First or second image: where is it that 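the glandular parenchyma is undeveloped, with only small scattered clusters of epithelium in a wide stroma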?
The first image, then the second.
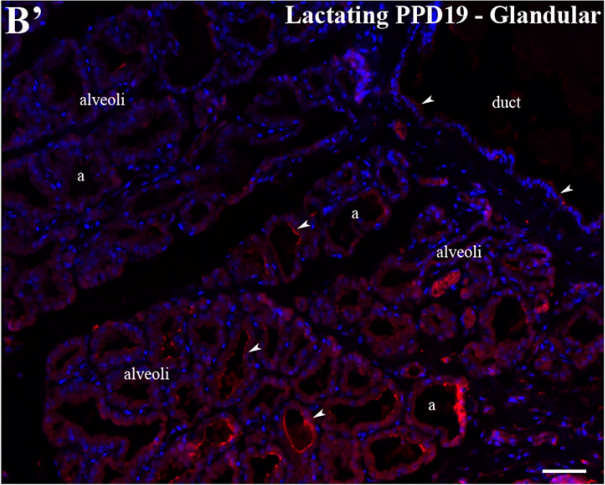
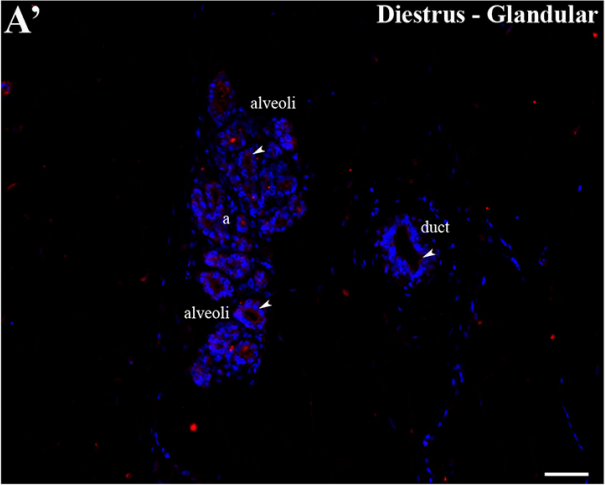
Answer: the second image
